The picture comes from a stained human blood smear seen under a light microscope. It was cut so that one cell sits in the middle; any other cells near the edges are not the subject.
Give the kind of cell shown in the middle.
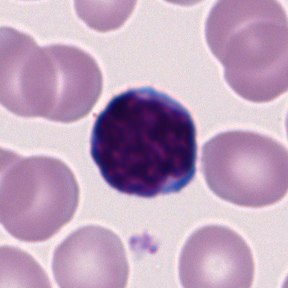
typical lymphocyte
